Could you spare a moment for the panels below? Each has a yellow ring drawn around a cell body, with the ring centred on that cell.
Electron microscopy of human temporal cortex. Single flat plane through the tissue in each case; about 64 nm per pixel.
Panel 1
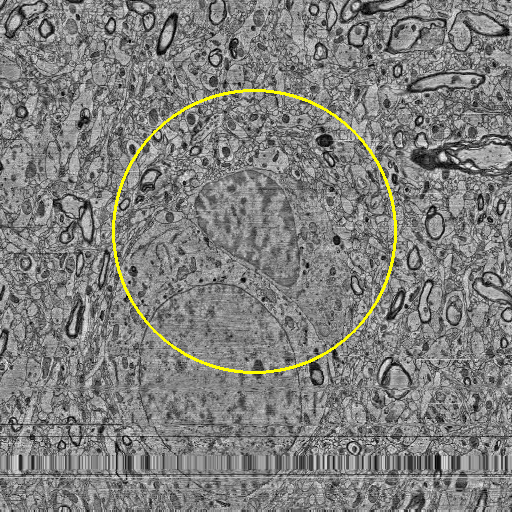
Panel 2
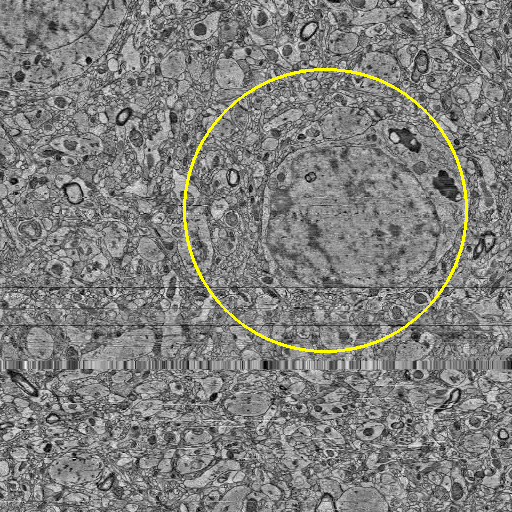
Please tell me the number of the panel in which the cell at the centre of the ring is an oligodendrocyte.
1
